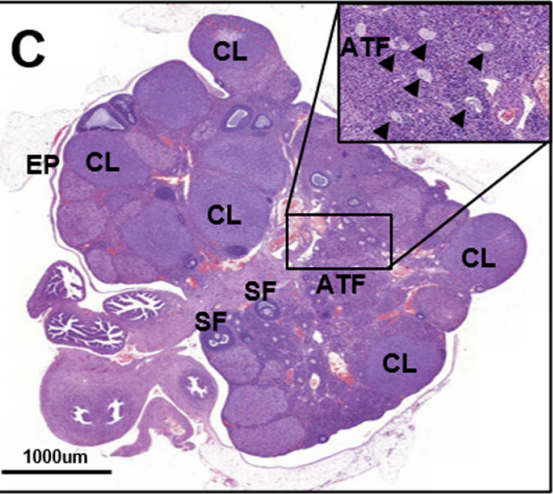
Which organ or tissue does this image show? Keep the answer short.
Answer: ovary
